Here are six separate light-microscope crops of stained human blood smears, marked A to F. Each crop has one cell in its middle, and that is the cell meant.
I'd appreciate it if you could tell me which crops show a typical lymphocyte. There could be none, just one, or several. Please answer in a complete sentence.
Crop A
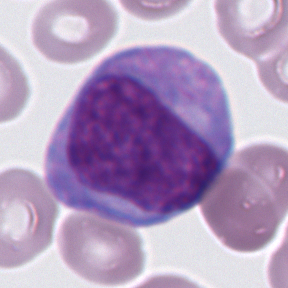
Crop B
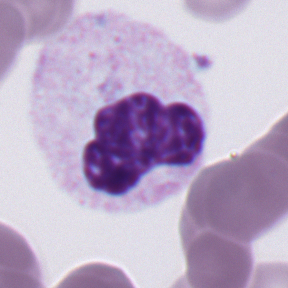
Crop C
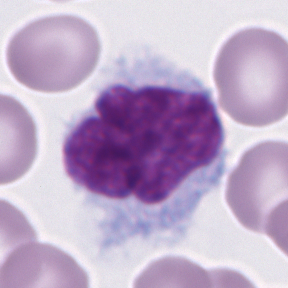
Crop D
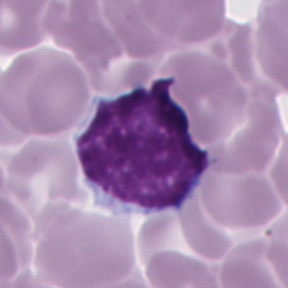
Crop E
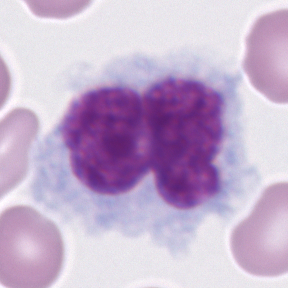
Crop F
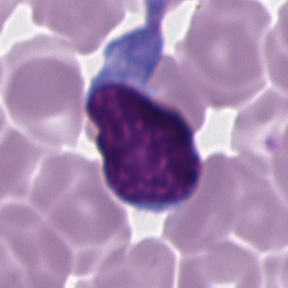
Here, the cells at the centre of crops D and F are typical lymphocytes.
